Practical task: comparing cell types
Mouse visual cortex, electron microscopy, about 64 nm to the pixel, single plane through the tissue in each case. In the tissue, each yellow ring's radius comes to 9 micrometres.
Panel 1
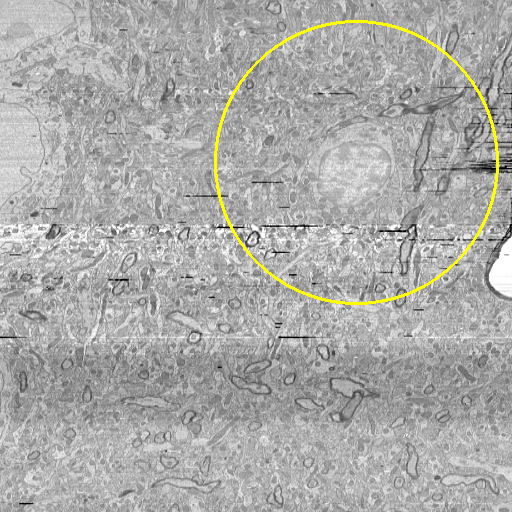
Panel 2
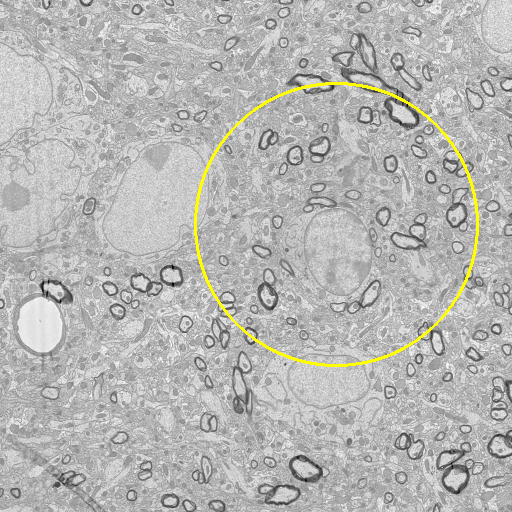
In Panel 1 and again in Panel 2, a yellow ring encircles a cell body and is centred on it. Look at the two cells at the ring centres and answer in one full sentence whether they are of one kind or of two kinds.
The two cells sitting at the ring centres of Panels 1 and 2 are of one kind.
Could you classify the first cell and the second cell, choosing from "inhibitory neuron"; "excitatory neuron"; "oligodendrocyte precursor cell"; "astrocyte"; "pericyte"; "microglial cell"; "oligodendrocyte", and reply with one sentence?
Each one of the two ringed cells is an oligodendrocyte.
